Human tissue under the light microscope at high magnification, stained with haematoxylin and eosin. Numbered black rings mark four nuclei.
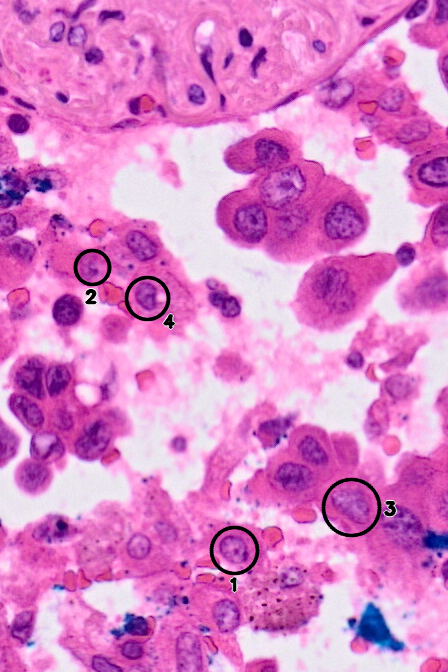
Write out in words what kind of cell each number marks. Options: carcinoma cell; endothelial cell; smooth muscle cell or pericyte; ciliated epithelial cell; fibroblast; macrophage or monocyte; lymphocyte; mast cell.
Cell 1 is a macrophage or monocyte, cell 2 is a macrophage or monocyte, cell 3 is a carcinoma cell and cell 4 is a macrophage or monocyte.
